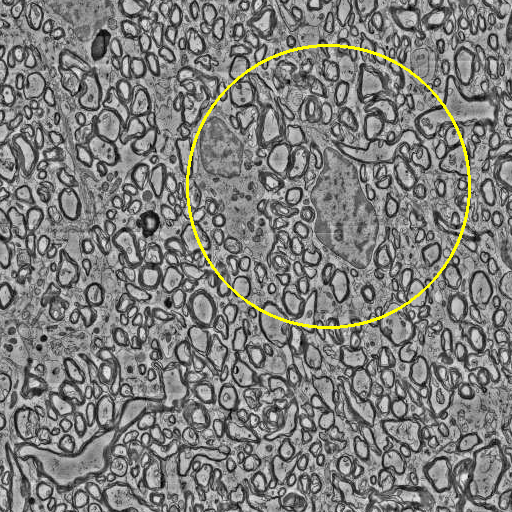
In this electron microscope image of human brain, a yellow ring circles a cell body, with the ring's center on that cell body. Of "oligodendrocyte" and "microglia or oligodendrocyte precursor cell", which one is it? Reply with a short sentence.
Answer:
It is a microglial cell or oligodendrocyte precursor cell at the center of the ring.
